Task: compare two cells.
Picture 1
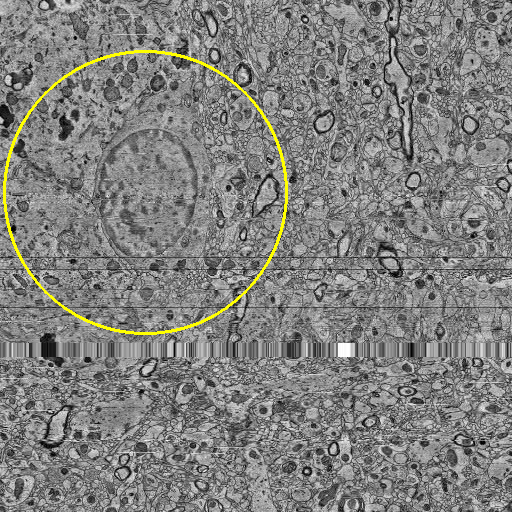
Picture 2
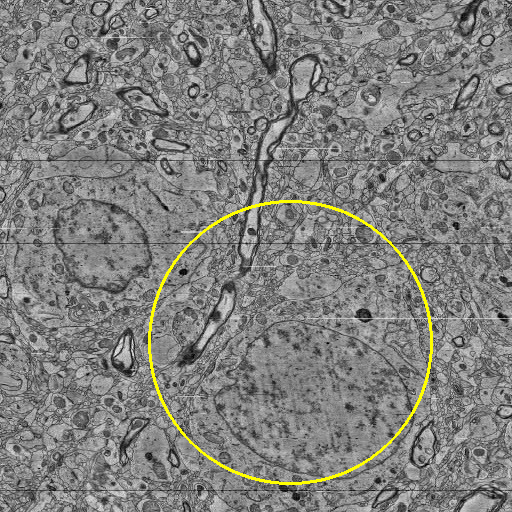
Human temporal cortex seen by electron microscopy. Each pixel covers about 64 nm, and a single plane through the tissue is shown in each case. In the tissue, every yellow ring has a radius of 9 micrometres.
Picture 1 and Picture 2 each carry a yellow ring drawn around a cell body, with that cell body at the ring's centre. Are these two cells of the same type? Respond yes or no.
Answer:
no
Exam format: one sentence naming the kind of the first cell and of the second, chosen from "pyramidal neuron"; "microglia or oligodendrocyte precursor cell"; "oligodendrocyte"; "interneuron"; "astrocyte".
The first picture's cell is an oligodendrocyte, and the second picture's cell is a pyramidal neuron.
